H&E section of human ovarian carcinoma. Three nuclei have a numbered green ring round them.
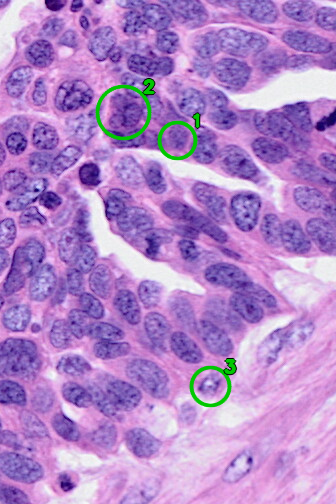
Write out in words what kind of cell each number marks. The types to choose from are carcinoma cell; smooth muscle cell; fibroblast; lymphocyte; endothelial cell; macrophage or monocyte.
Cells 1 and 2 are carcinoma cells. Cell 3 is a fibroblast.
